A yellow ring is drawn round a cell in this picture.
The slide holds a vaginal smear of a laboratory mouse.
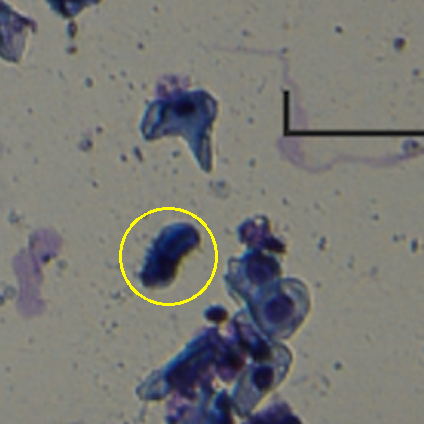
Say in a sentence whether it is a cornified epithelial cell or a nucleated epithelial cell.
The cell in the ring is a cornified epithelial cell.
